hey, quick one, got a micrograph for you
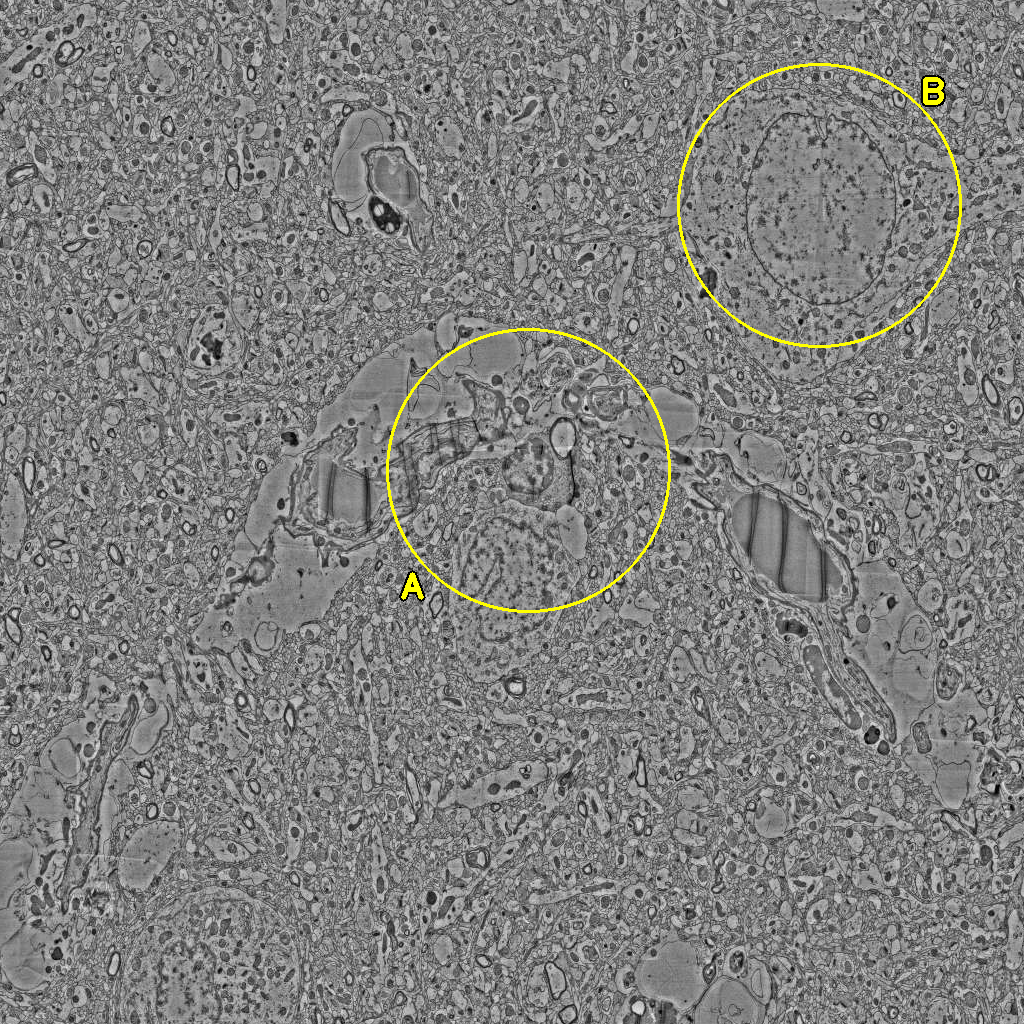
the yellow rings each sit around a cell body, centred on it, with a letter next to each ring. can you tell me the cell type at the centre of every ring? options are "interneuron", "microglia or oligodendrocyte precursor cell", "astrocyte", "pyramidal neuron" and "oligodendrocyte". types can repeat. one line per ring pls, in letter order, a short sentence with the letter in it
Ring A goes around an oligodendrocyte.
Ring B goes around a pyramidal neuron.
